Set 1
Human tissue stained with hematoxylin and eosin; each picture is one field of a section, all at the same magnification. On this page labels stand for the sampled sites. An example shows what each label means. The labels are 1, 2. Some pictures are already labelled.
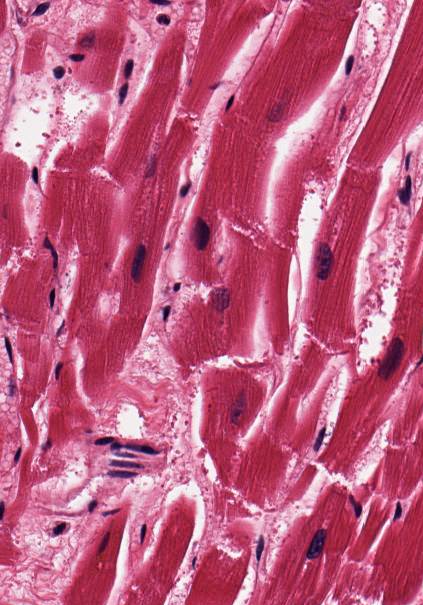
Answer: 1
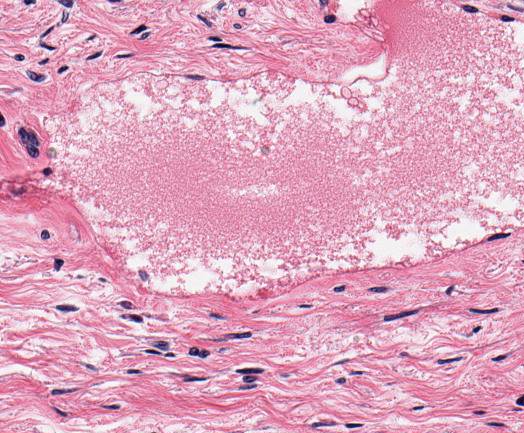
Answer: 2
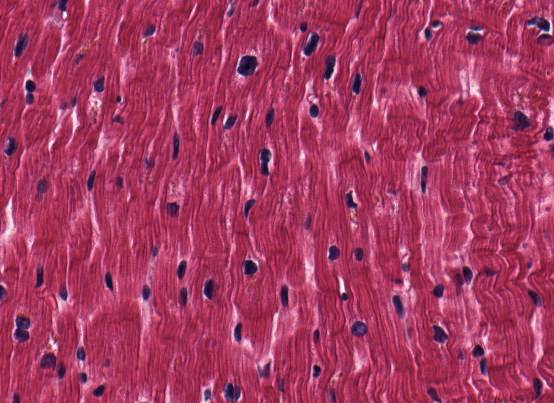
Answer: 1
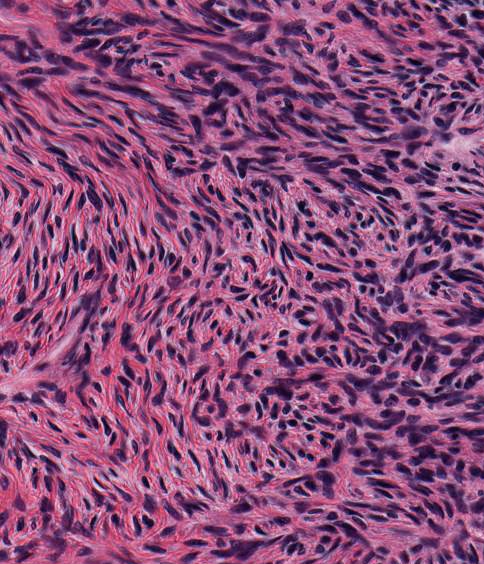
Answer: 2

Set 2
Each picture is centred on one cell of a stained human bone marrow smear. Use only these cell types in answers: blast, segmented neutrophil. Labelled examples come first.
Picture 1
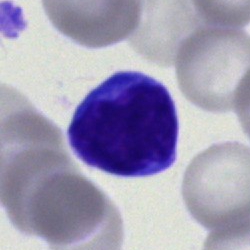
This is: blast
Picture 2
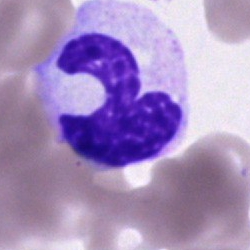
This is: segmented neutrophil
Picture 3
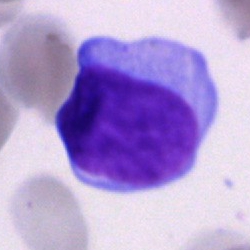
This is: blast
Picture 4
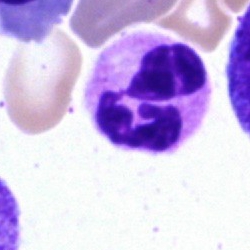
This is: segmented neutrophil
